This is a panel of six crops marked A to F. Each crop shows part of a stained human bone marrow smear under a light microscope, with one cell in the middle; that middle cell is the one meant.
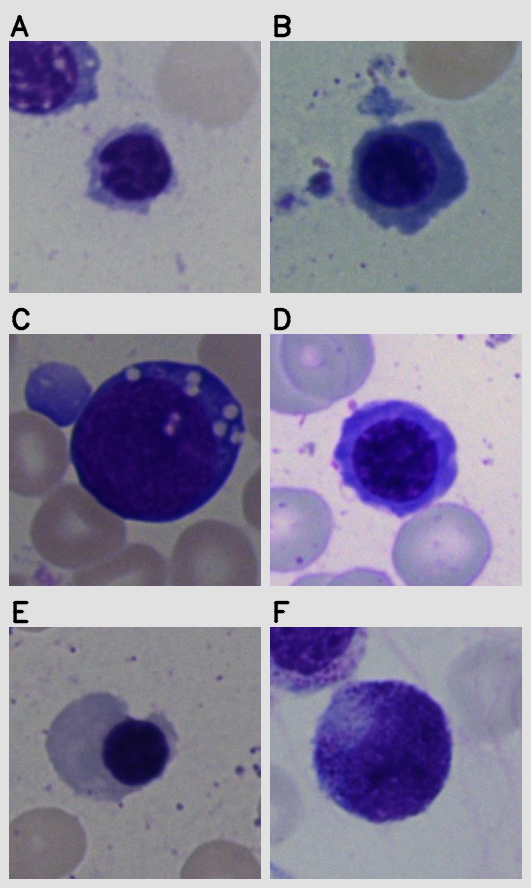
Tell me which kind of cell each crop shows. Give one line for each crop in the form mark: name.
A: erythroblast
B: erythroblast
C: blast
D: erythroblast
E: erythroblast
F: promyelocyte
